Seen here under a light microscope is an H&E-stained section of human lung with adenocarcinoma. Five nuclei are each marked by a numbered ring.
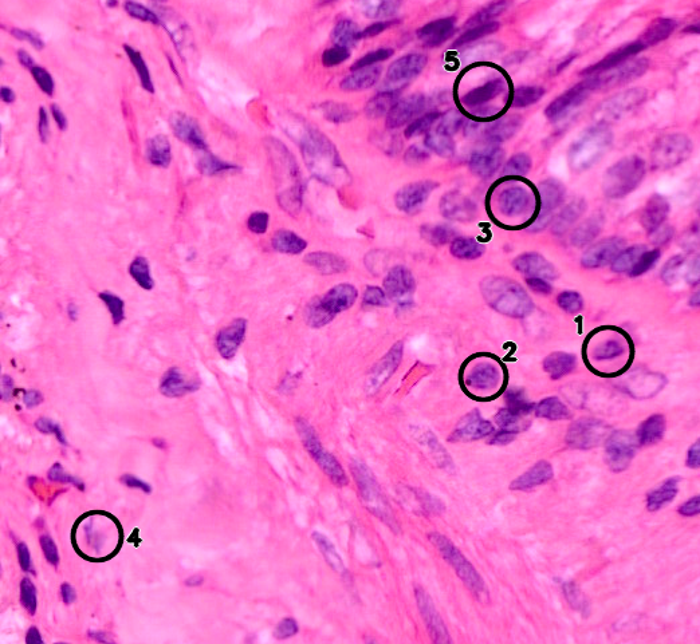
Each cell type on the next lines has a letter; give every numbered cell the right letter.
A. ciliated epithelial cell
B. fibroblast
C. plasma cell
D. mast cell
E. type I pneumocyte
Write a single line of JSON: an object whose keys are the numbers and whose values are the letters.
{"1": "C", "2": "D", "3": "A", "4": "B", "5": "A"}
